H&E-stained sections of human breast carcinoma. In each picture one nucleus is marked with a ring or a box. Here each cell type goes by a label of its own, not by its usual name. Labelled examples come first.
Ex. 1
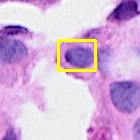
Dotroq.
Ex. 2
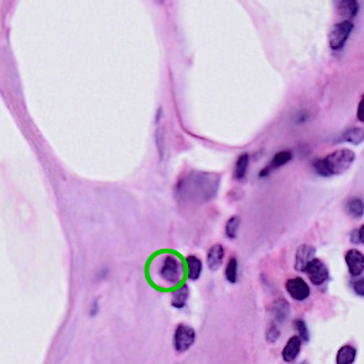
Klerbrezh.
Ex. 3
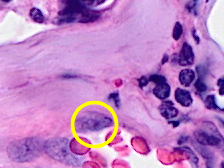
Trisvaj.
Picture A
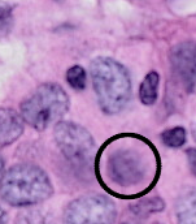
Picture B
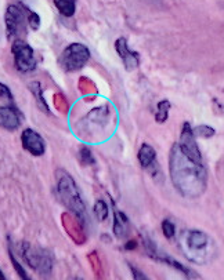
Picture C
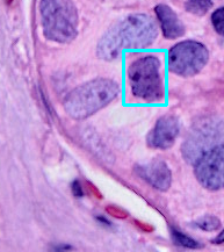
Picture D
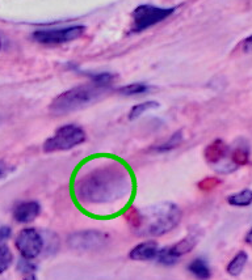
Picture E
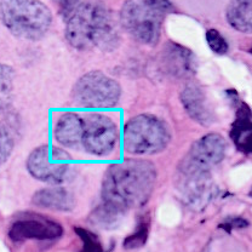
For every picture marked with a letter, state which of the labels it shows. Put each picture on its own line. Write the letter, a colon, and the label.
A: Dotroq.
B: Trisvaj.
C: Dotroq.
D: Trisvaj.
E: Dotroq.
